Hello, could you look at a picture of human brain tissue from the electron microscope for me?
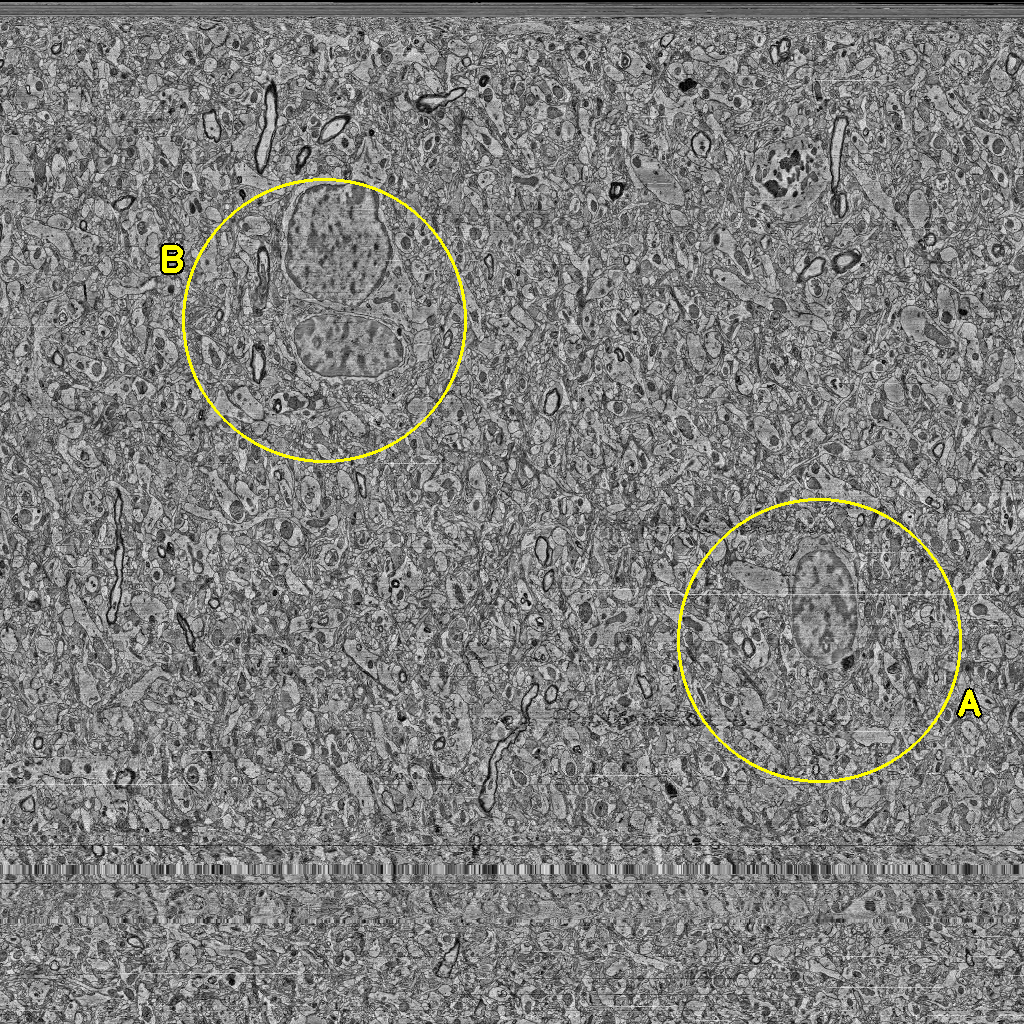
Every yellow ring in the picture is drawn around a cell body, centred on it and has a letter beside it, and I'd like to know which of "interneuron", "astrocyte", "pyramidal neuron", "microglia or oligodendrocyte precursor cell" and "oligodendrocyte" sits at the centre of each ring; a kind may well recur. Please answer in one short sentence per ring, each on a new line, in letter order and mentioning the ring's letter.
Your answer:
The cell sitting at the centre of ring A is an oligodendrocyte.
The cell sitting at the centre of ring B is a microglial cell or oligodendrocyte precursor cell.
